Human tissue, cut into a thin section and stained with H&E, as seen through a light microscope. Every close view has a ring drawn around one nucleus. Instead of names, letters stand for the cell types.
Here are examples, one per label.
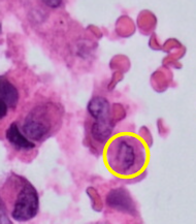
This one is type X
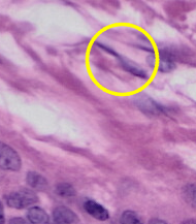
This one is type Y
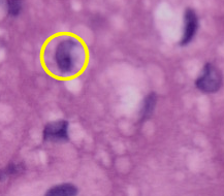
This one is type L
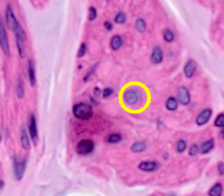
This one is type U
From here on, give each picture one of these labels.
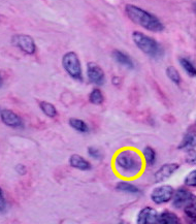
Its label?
type U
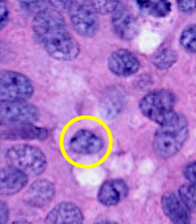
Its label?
type X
